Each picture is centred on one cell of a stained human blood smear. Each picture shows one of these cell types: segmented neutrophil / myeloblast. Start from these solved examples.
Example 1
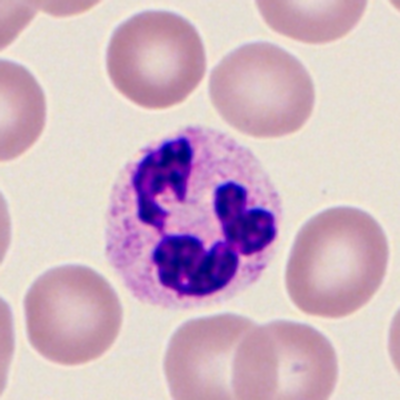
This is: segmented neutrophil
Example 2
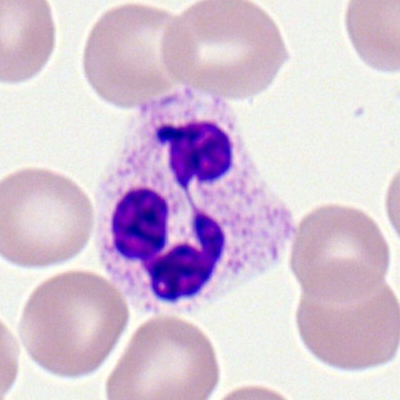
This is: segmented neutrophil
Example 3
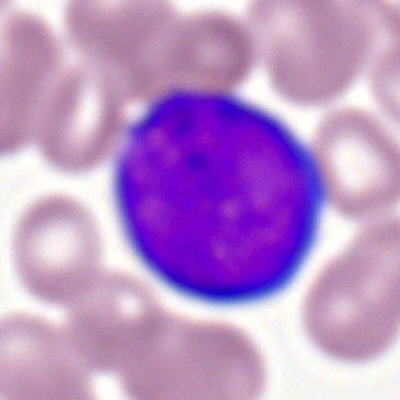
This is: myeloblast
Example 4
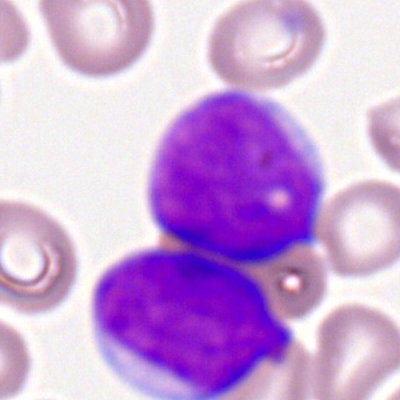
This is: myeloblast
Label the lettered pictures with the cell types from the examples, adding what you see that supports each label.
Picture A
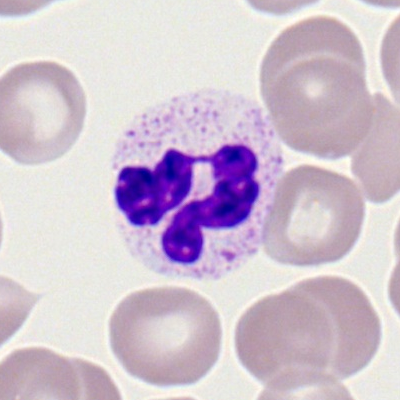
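segmented neutrophil: The cytoplasm is plentiful and pale pink.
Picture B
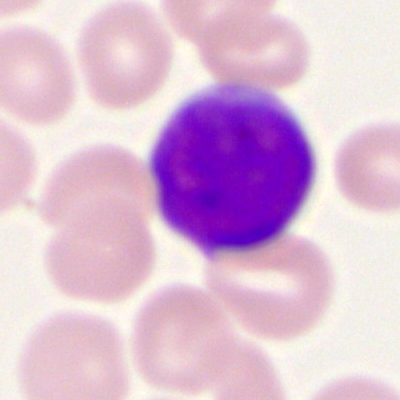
myeloblast: The nucleus fills almost the whole cell.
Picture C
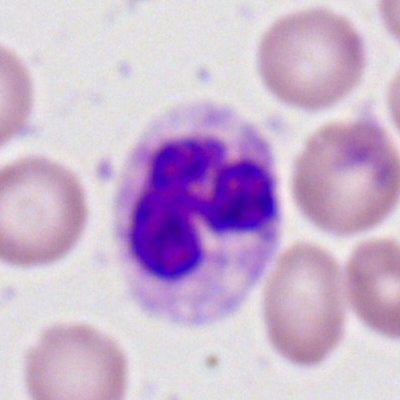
segmented neutrophil: The nucleus is divided into separate lobes.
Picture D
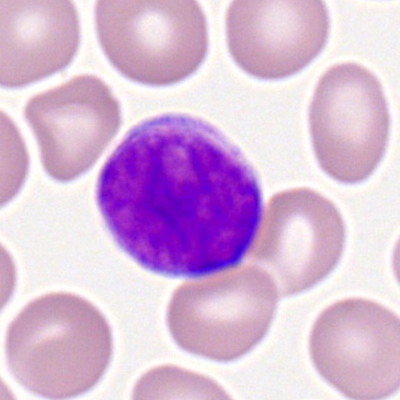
myeloblast: Only a very thin rim of cytoplasm is visible.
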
